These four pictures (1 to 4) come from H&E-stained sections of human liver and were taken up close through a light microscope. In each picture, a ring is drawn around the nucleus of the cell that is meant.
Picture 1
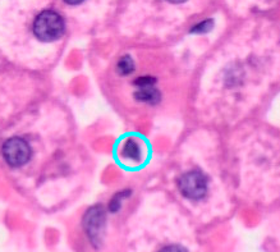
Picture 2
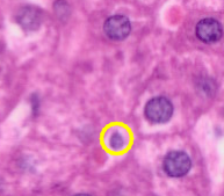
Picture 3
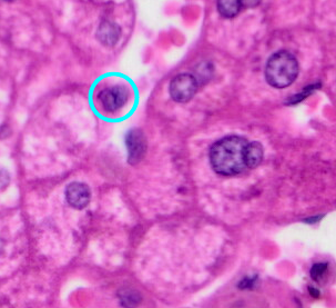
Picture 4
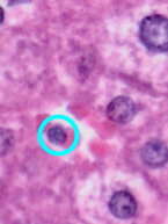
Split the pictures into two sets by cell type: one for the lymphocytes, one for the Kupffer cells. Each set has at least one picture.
1: lymphocyte
2: lymphocyte
3: Kupffer cell
4: lymphocyte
